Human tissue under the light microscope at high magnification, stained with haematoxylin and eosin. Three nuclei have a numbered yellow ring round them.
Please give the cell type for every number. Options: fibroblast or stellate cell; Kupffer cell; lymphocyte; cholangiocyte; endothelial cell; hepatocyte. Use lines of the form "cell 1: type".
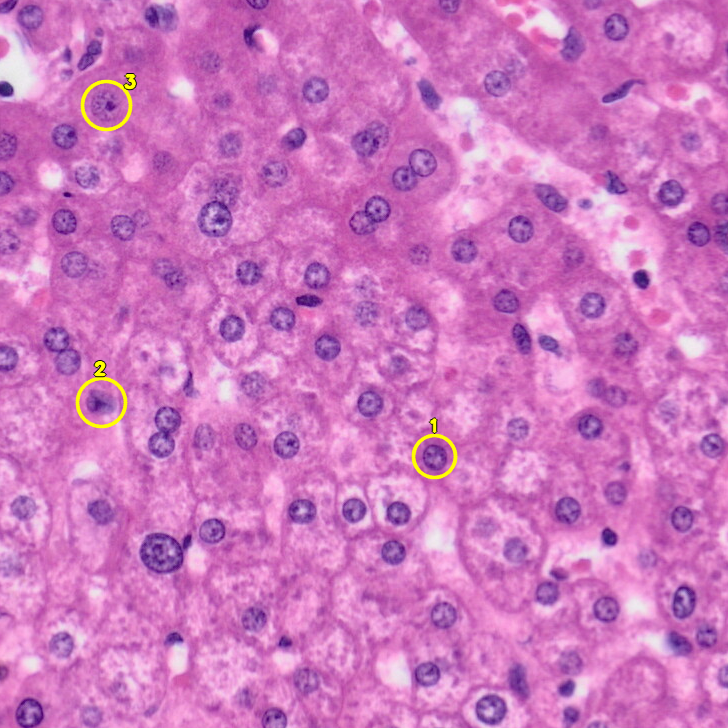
cell 1: hepatocyte
cell 2: endothelial cell
cell 3: hepatocyte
